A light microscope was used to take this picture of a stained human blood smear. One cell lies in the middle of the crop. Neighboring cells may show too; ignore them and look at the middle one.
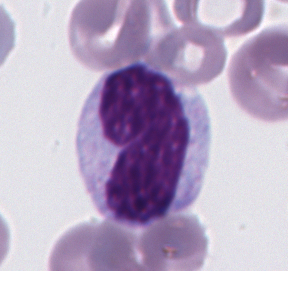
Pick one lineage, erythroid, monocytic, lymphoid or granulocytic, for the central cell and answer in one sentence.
The central cell in this crop is categorized under the granulocytic lineage.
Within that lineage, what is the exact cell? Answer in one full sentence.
As for the central cell, it is a band neutrophil.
